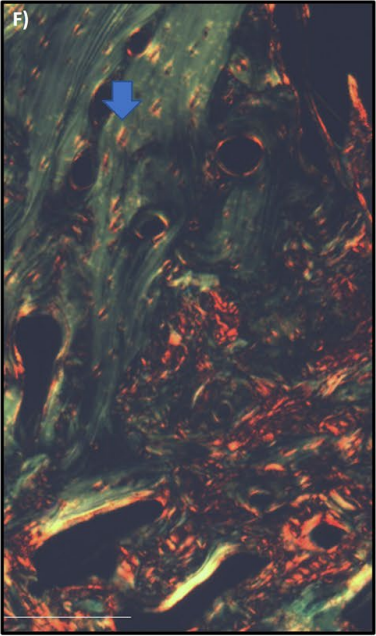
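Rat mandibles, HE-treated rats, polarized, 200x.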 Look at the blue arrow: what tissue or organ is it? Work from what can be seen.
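The arrow points into a broad band of dense, parallel green birefringent matrix. Small dark lacunae with red-orange rims are scattered within this band.
Answer: native bone area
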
